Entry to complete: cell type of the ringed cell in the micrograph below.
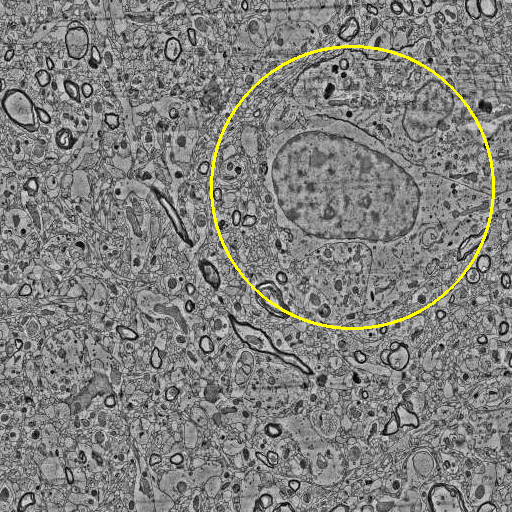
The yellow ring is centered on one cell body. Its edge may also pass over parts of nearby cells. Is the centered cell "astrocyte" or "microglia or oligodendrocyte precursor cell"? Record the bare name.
microglia or oligodendrocyte precursor cell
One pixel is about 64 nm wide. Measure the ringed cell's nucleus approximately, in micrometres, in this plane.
In this plane, the nucleus is roughly 10 by 7 micrometres.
